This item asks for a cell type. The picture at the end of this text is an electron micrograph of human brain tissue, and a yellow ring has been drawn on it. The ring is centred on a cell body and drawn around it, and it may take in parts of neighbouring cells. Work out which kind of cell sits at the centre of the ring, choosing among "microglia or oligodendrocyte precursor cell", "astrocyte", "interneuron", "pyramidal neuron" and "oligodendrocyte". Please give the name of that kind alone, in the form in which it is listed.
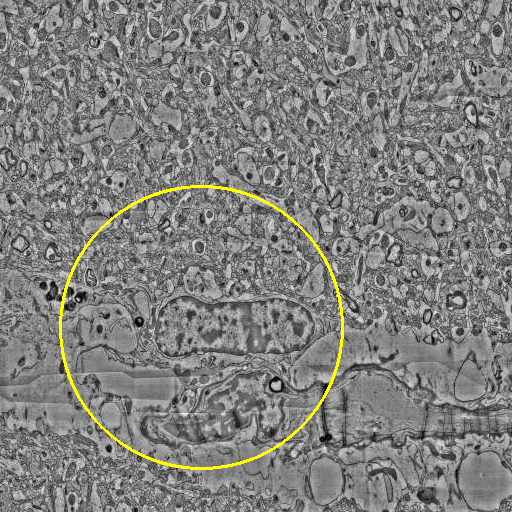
microglia or oligodendrocyte precursor cell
